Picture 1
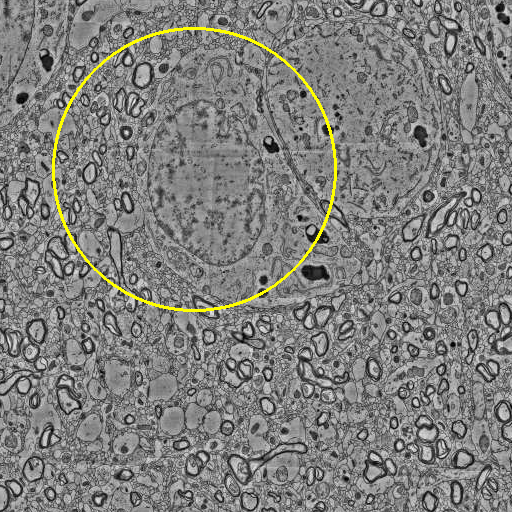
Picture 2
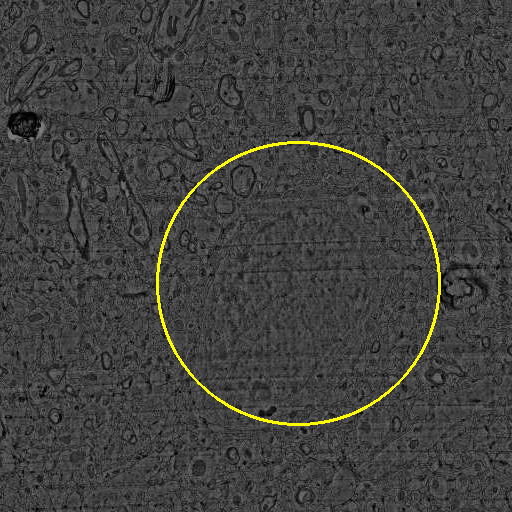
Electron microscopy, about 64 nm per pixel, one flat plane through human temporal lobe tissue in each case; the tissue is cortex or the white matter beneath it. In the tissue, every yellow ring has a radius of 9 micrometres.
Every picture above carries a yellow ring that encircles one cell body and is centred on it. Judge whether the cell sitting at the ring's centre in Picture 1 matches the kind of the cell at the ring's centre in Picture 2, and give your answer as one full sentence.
Yes, the cells centred in the rings of Pictures 1 and 2 belong to one kind.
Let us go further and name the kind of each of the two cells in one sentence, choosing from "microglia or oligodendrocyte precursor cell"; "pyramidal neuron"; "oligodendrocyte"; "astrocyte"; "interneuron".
Each of the two pictures has an interneuron at the ring centre.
